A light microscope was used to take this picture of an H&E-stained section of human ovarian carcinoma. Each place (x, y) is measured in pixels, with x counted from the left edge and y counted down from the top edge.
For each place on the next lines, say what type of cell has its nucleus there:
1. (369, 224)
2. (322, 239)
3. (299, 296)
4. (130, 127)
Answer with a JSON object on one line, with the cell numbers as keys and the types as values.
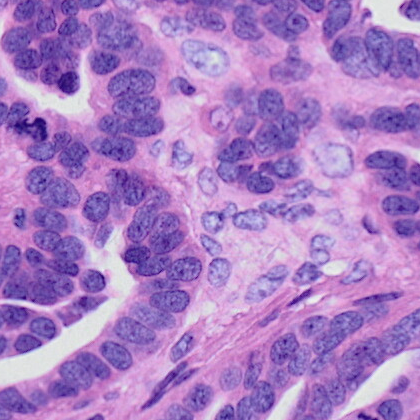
{"1": "fibroblast", "2": "fibroblast", "3": "fibroblast", "4": "carcinoma cell"}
